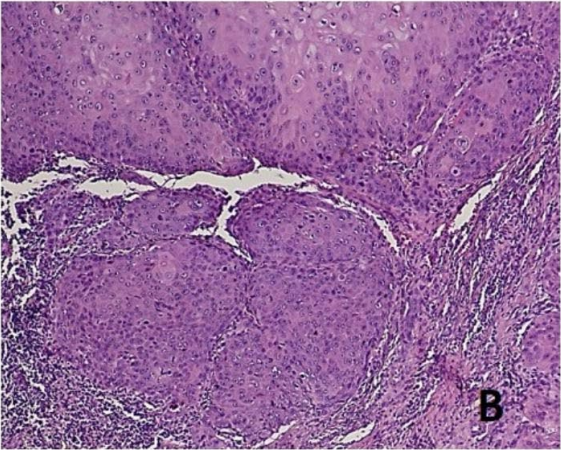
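Squamous epithelium forms rounded invasive islands that lie in the stroma beneath the overlying epithelium, stained pink and purple. The cells in the islands have enlarged, variably sized nuclei, and the surrounding stroma is densely packed with small dark-nucleated inflammatory cells.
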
